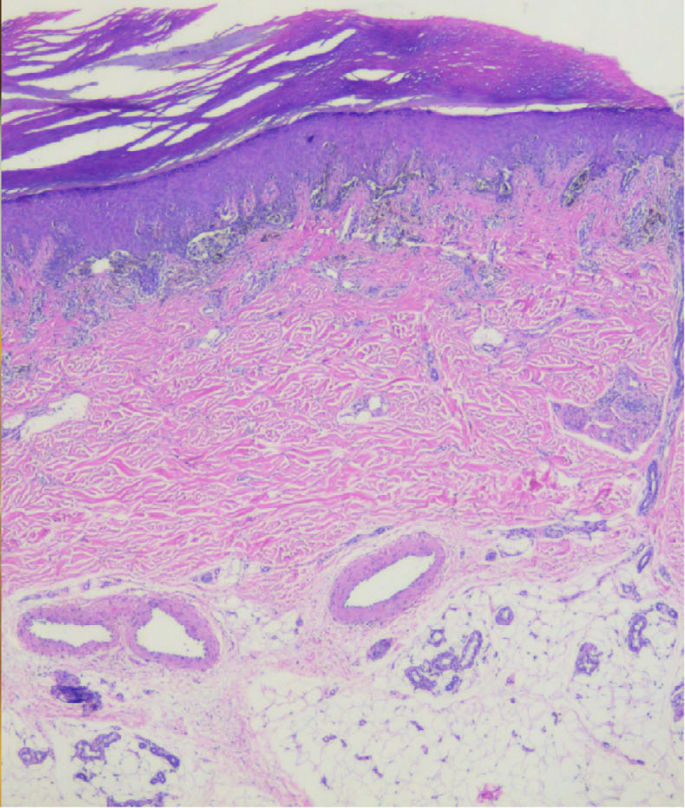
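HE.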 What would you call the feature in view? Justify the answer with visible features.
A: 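Nests. Pigmented cells form small rounded groups at the base of the epidermis. Some pigmented groups extend into the upper dermis.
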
